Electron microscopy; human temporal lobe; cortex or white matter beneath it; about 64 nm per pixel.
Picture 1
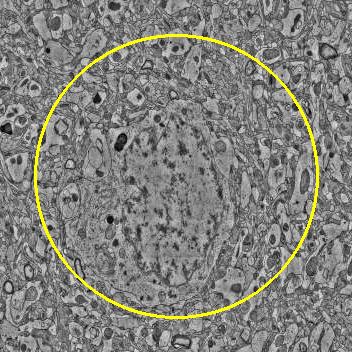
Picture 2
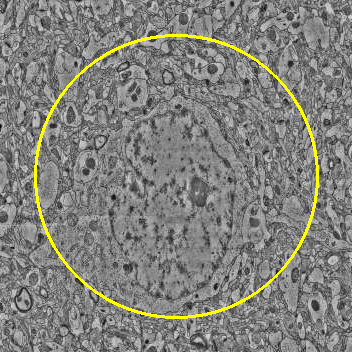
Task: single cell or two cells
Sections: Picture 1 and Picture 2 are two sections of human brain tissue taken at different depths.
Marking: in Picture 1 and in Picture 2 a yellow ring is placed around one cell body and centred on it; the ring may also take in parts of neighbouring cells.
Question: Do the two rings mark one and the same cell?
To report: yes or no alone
yes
